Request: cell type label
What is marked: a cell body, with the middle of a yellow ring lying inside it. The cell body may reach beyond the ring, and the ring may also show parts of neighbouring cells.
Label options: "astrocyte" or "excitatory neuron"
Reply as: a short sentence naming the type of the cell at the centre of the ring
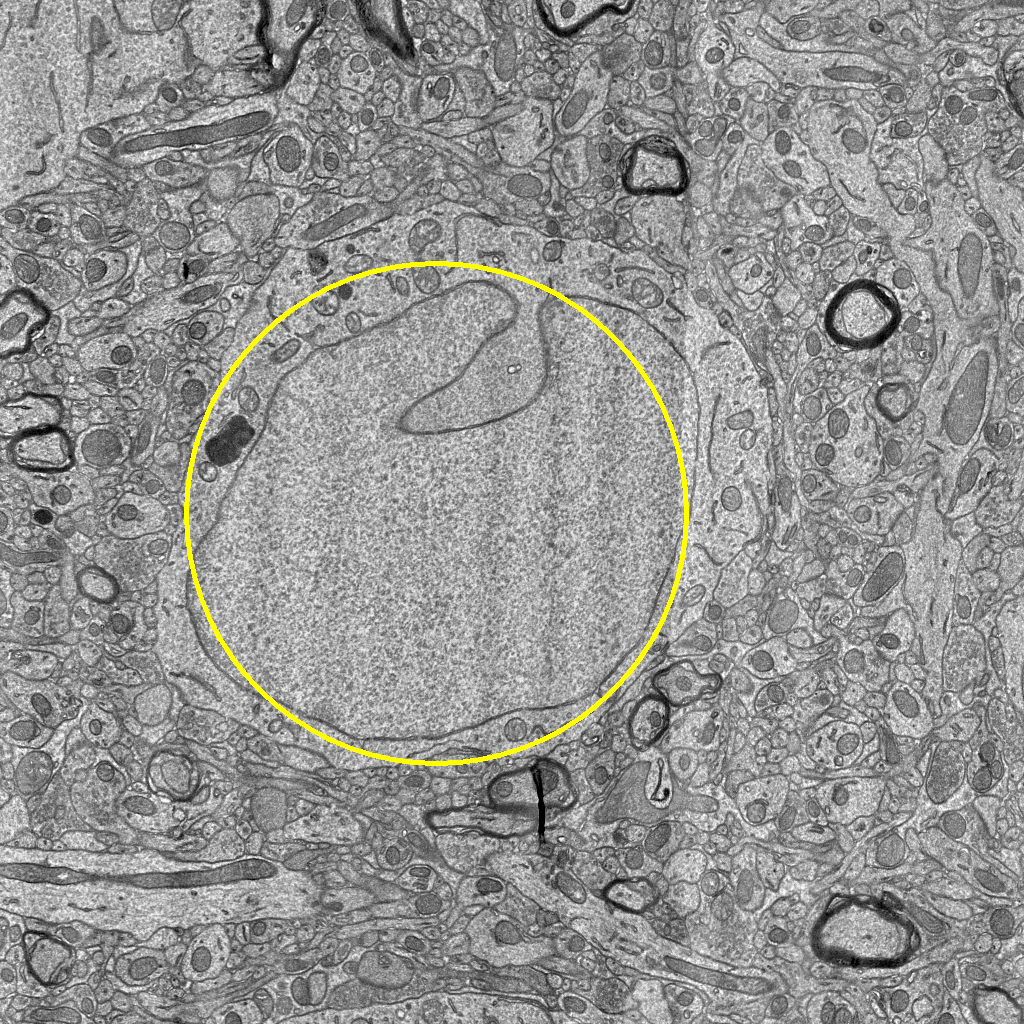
The marked cell body is that of an excitatory neuron.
